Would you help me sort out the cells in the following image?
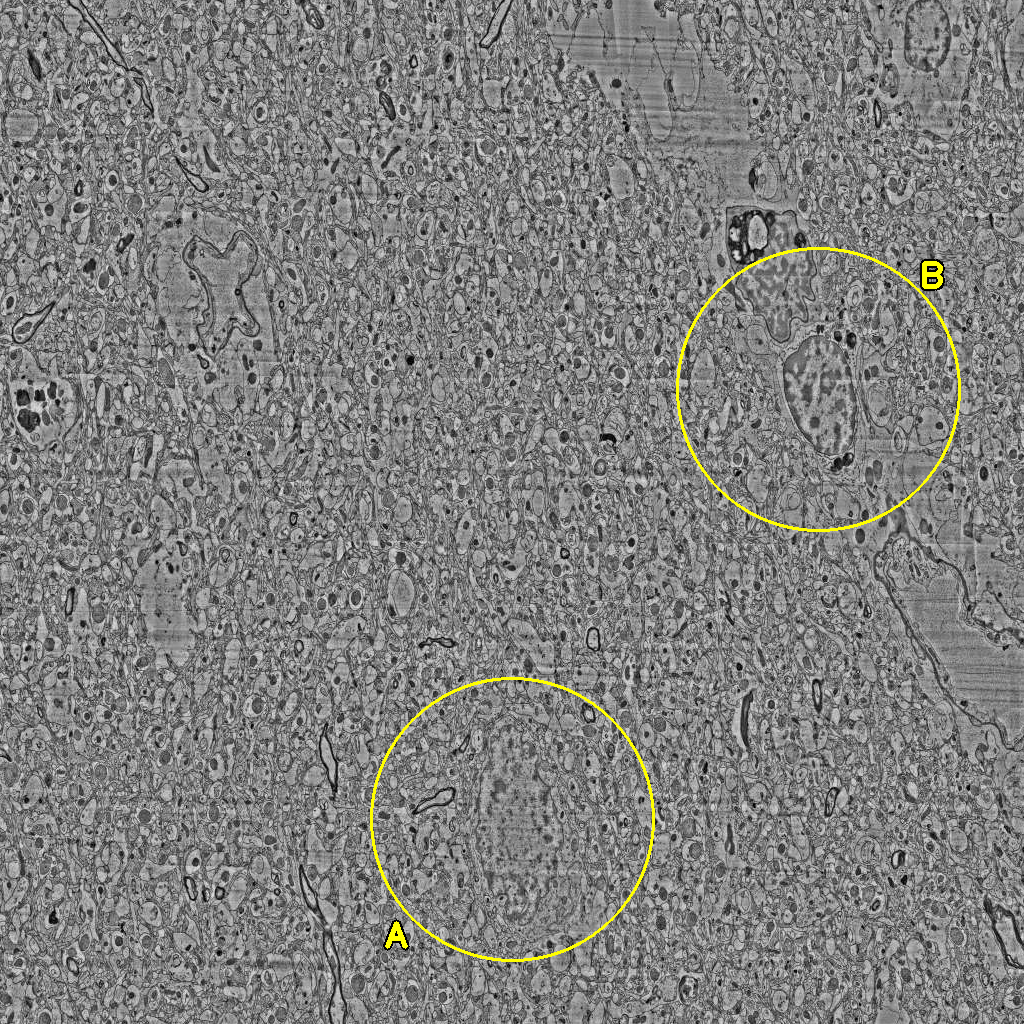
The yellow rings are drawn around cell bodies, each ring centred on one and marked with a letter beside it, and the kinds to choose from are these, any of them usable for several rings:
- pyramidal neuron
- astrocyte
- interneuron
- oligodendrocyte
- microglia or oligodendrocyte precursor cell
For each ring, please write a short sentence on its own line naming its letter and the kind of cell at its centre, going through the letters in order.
Ring A is centred on the cell body of an interneuron.
Ring B is centred on the cell body of a microglial cell or oligodendrocyte precursor cell.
